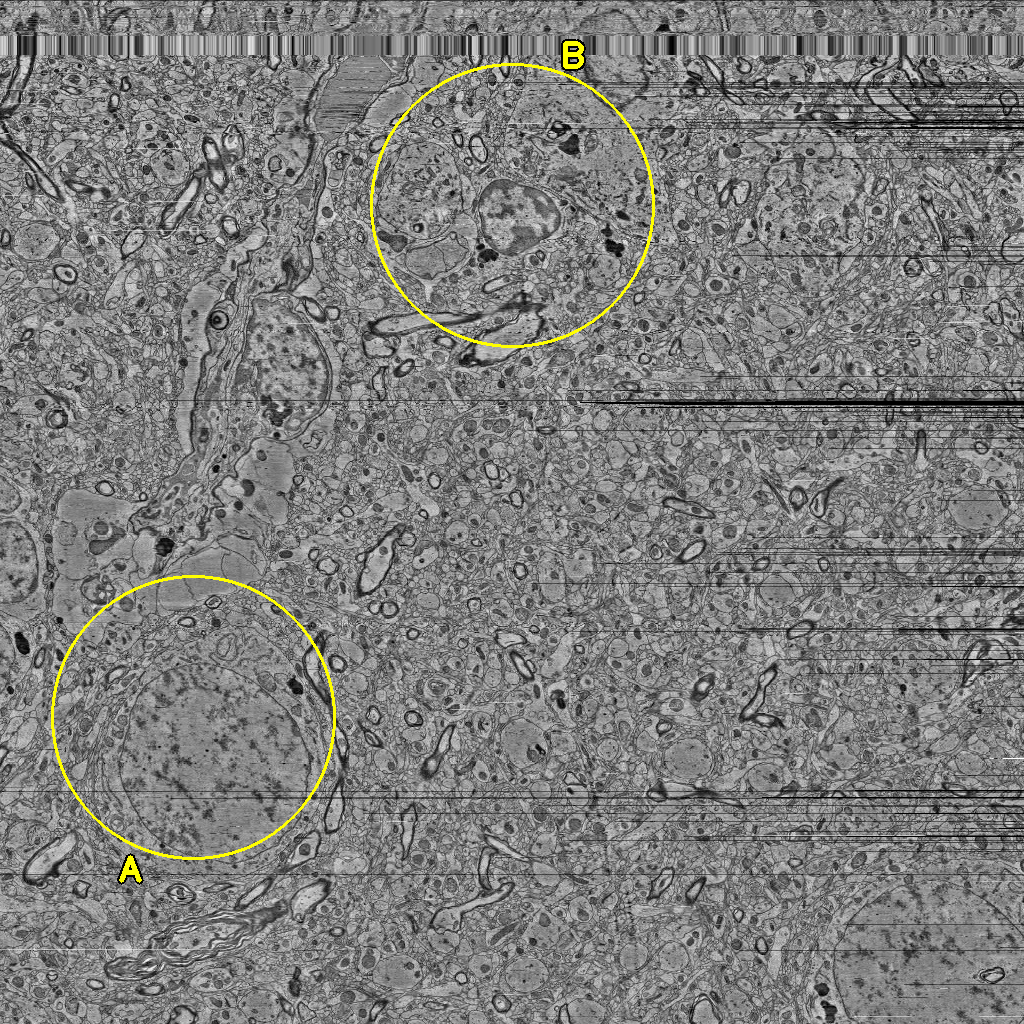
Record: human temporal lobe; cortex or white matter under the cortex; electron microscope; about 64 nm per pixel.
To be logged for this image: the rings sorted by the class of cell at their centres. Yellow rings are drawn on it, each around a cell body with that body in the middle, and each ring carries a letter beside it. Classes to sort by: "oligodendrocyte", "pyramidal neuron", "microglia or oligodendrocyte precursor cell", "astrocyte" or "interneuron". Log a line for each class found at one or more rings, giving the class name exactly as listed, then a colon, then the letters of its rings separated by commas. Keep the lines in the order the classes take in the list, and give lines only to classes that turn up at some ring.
pyramidal neuron: A
microglia or oligodendrocyte precursor cell: B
